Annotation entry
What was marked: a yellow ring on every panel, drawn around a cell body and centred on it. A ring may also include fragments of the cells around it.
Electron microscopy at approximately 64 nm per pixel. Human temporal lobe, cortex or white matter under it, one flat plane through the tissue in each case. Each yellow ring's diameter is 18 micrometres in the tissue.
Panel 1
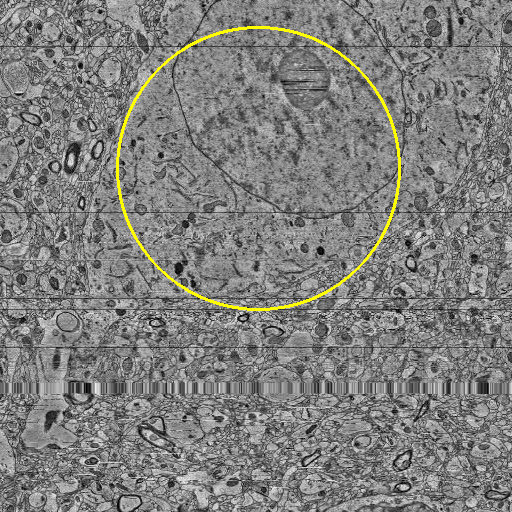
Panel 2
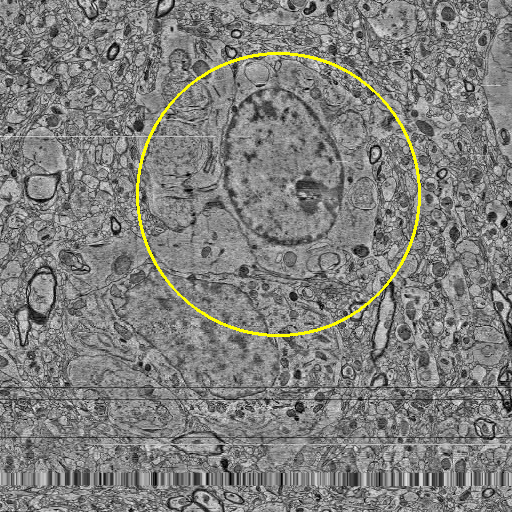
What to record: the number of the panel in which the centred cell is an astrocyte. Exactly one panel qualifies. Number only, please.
2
